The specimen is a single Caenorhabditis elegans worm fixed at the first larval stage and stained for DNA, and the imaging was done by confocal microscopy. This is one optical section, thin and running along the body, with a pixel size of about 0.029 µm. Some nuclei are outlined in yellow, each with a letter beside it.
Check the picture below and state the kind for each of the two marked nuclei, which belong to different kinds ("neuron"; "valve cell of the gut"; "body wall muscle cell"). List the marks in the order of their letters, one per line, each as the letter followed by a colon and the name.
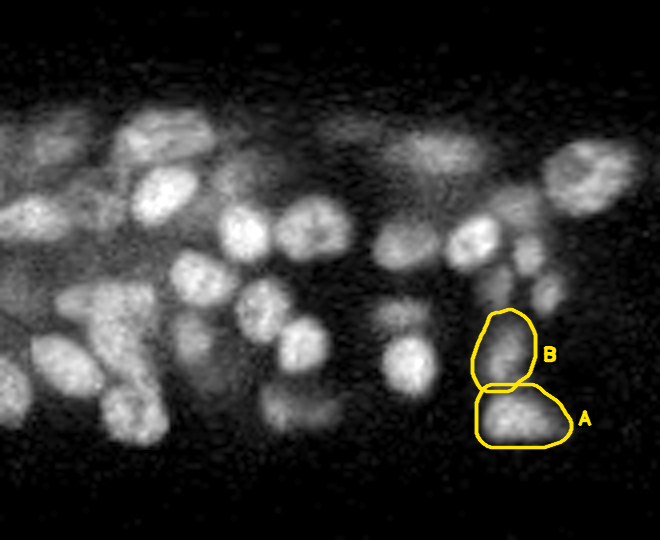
A: body wall muscle cell
B: valve cell of the gut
